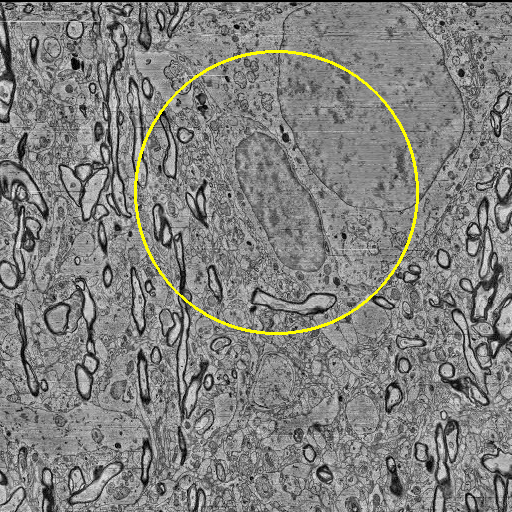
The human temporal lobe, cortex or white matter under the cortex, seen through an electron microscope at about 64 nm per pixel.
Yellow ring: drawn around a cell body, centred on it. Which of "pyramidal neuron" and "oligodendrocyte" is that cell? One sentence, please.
That cell body is from an oligodendrocyte.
